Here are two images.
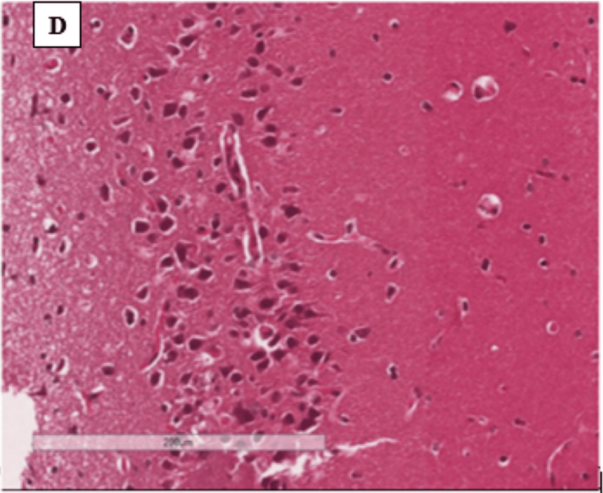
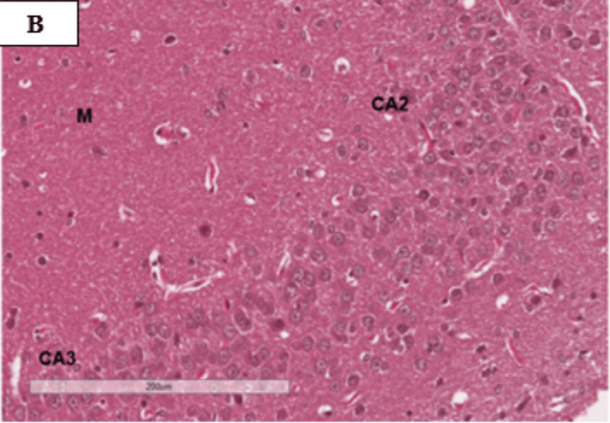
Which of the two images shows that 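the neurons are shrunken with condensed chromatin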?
The first image.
